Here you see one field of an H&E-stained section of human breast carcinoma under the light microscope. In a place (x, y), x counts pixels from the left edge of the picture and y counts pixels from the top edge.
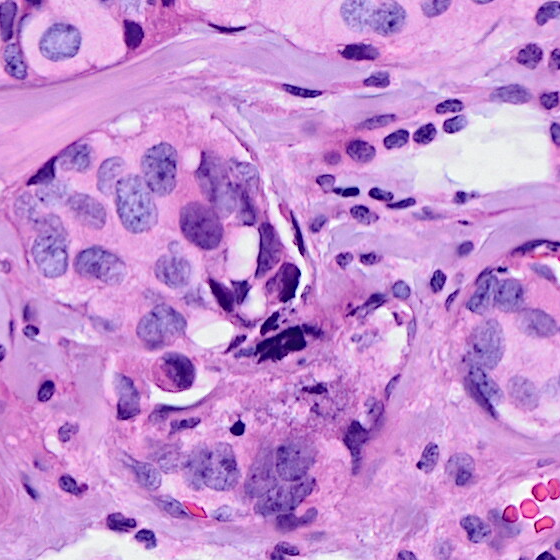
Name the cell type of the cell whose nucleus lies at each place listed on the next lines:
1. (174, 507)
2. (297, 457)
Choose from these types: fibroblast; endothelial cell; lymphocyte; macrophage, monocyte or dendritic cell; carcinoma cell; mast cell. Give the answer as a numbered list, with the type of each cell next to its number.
1. endothelial cell
2. carcinoma cell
